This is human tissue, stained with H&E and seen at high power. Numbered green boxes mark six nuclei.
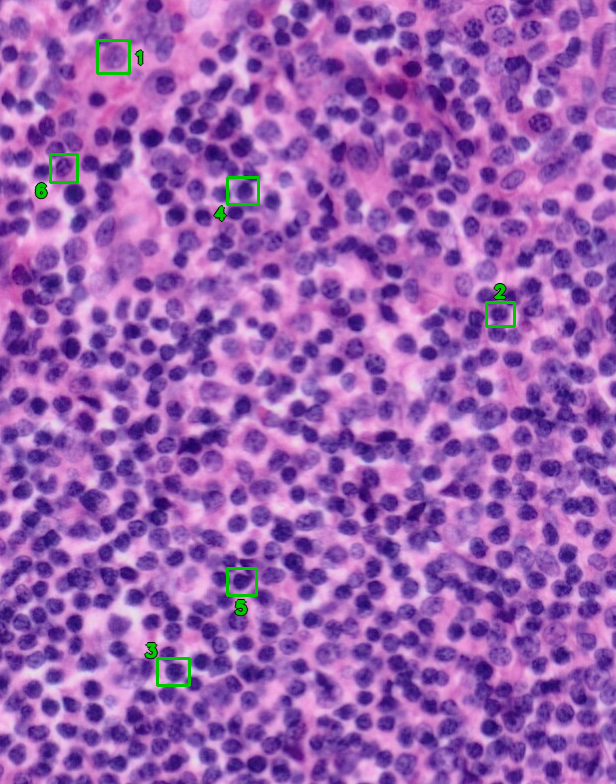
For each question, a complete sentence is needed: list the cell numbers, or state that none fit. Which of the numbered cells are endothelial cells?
Only the cell marked 1 is an endothelial cell.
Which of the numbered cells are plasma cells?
Exactly one of the numbered cells is a plasma cell, namely cell 6.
